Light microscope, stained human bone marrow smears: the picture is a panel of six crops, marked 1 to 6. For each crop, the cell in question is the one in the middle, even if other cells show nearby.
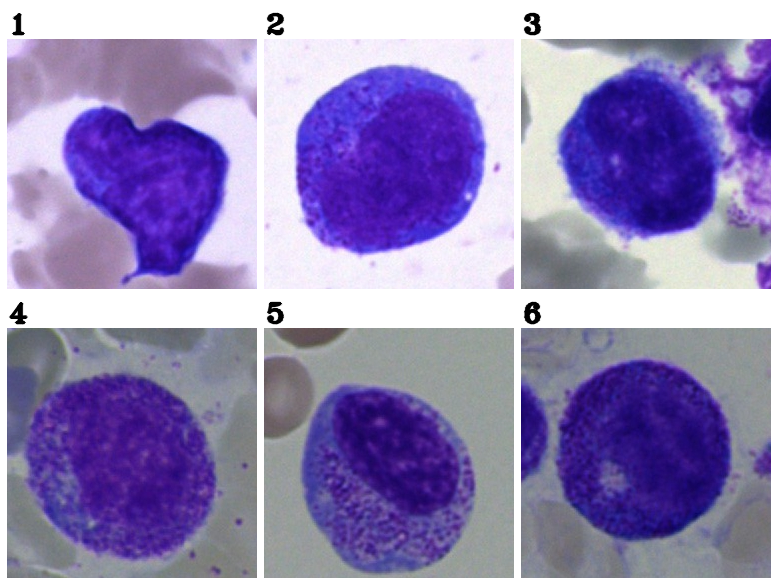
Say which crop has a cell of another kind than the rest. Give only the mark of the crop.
1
